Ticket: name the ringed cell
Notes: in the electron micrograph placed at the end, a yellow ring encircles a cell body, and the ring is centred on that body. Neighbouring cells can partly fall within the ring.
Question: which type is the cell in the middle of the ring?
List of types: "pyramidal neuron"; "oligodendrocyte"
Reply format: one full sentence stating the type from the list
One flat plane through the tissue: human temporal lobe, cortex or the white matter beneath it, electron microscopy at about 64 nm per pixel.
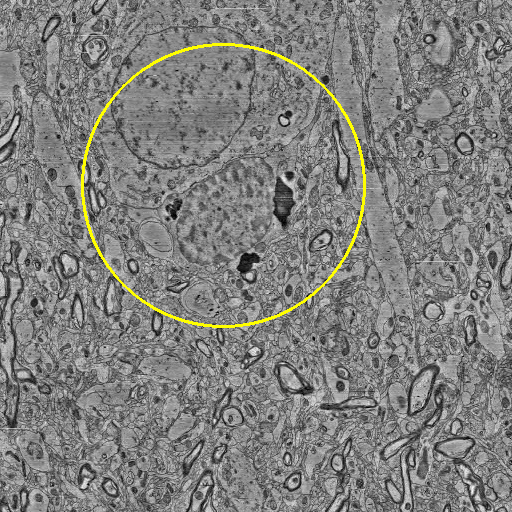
The cell sitting at the centre of the yellow ring is an oligodendrocyte.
